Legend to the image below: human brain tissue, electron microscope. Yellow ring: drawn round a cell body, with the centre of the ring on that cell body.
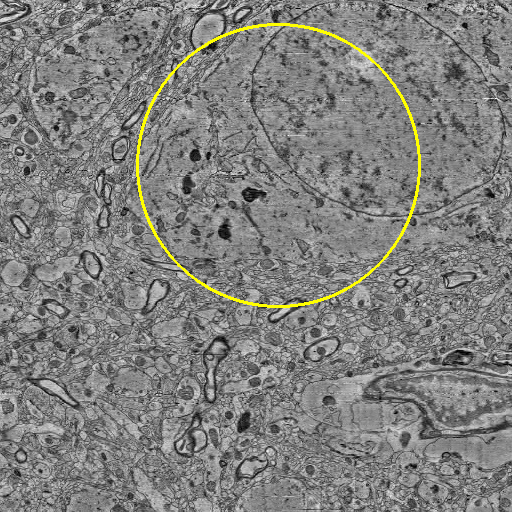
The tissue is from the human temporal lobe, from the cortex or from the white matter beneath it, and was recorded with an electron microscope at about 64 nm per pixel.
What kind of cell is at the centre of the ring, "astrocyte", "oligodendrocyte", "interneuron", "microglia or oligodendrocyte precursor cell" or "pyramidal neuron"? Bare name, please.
pyramidal neuron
